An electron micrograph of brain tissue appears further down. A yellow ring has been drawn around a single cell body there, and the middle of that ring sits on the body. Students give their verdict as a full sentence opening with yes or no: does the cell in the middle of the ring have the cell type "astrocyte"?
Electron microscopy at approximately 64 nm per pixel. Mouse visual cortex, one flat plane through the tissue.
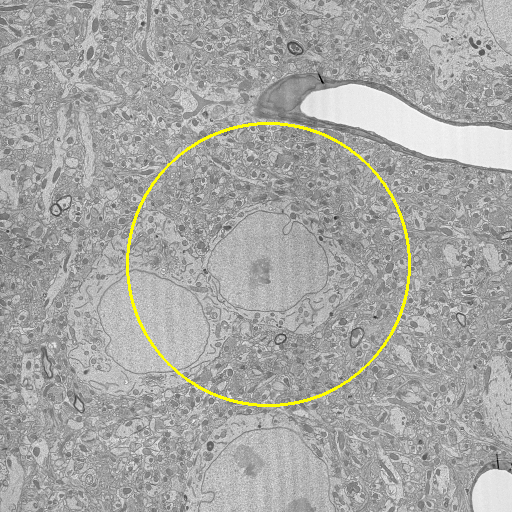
No, in this picture the cell sitting at the middle of the ring has a different cell type.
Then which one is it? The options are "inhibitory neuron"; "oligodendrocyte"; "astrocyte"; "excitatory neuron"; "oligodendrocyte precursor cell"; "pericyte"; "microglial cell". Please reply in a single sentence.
The correct answer is that the cell is an excitatory neuron.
